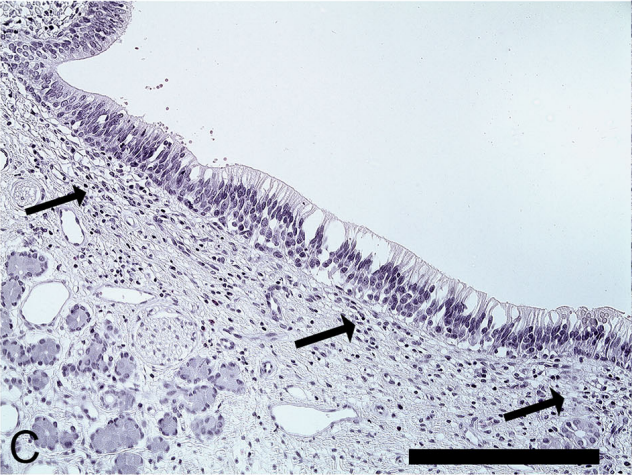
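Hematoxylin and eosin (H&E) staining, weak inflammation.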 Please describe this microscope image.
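A tall sensory epithelium lines an open lumen, with its nuclei stacked in several purple rows and a paler apical band toward the lumen. Beneath it lies loose connective tissue with small vessels, and at the lower left clusters of glandular acini with purple cytoplasm.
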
